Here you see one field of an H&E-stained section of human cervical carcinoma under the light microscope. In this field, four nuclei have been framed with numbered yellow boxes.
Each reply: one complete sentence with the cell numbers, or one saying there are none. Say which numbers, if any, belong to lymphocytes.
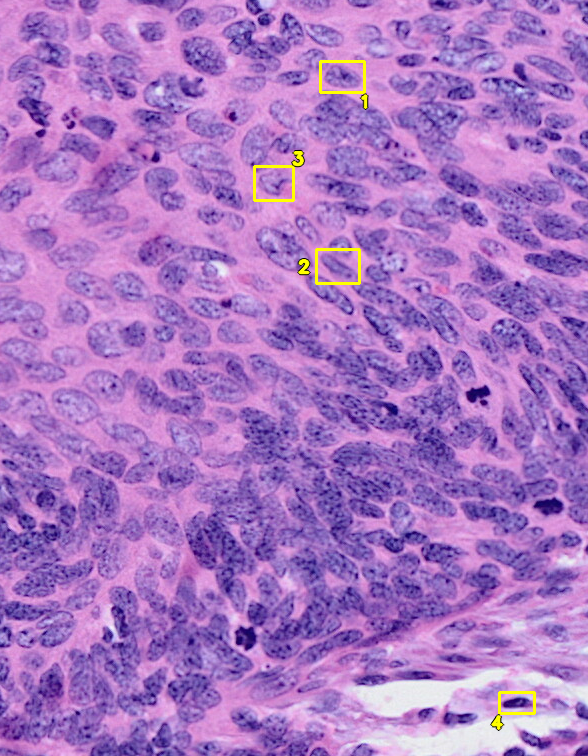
The cell bearing the number 4 is a lymphocyte, unlike the rest of the numbered cells.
